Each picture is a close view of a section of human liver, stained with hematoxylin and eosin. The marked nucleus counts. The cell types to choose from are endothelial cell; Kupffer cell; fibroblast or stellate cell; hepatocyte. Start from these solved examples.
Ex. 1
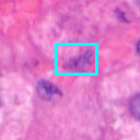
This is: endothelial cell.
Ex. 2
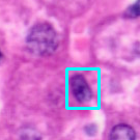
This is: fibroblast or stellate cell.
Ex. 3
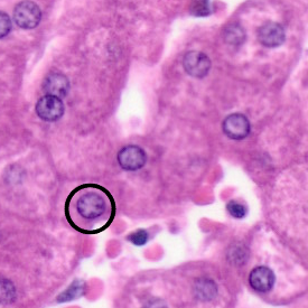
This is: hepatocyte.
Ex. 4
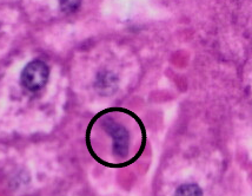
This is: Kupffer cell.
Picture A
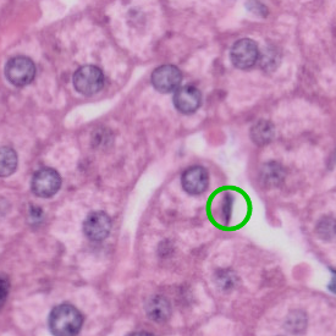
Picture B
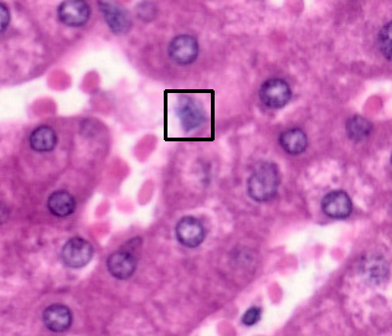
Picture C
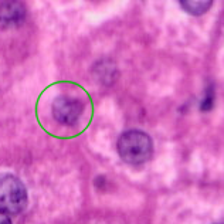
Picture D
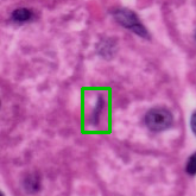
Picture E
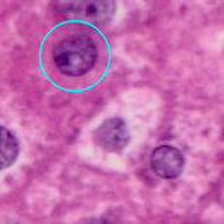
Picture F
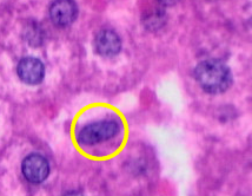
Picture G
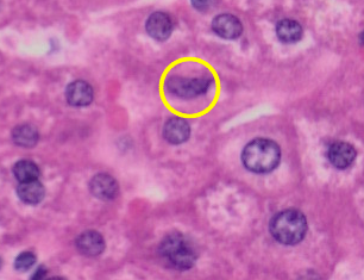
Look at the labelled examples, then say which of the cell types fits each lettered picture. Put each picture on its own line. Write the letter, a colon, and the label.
A: endothelial cell.
B: endothelial cell.
C: endothelial cell.
D: endothelial cell.
E: hepatocyte.
F: Kupffer cell.
G: Kupffer cell.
